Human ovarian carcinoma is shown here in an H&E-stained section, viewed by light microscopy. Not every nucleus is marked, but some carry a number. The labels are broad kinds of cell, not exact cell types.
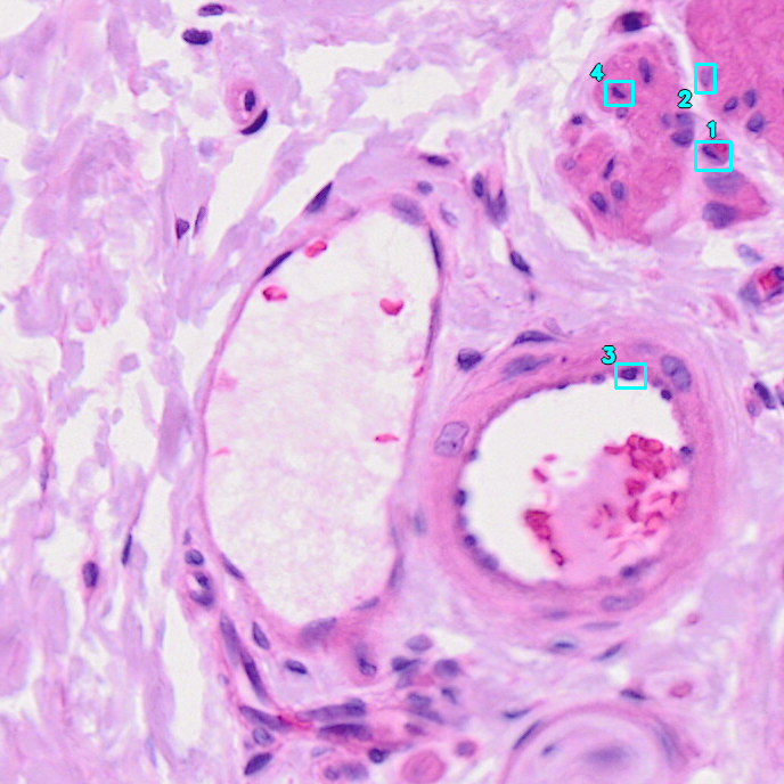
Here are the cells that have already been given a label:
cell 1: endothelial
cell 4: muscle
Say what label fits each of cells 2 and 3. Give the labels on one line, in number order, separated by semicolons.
muscle; endothelial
